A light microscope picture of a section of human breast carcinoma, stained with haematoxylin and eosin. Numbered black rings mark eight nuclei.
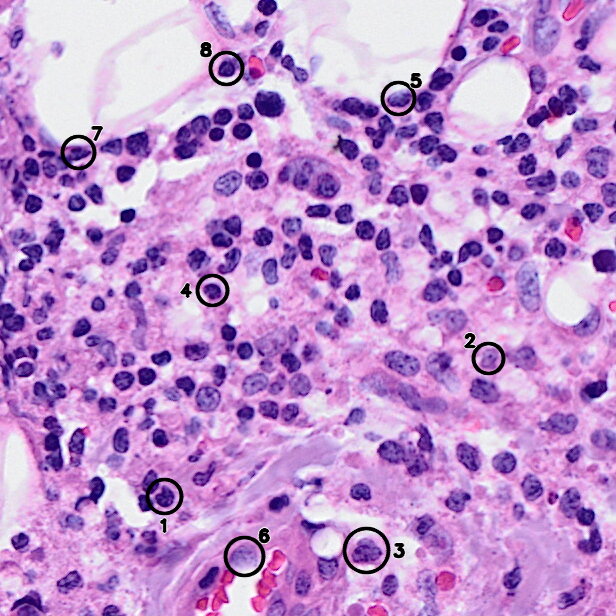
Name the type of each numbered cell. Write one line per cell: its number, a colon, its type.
1: lymphocyte
2: macrophage, monocyte or dendritic cell
3: macrophage, monocyte or dendritic cell
4: lymphocyte
5: lymphocyte
6: endothelial cell
7: lymphocyte
8: lymphocyte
